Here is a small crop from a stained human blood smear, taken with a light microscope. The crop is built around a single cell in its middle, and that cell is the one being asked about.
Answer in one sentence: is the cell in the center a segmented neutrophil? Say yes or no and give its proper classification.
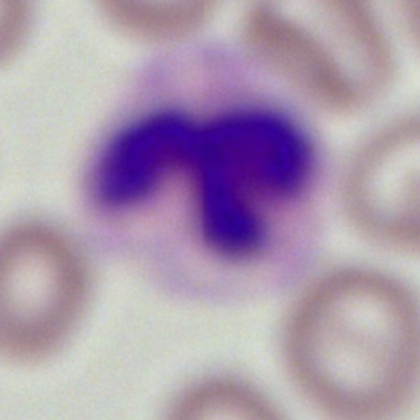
Yes, the crop's central cell is a segmented neutrophil.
